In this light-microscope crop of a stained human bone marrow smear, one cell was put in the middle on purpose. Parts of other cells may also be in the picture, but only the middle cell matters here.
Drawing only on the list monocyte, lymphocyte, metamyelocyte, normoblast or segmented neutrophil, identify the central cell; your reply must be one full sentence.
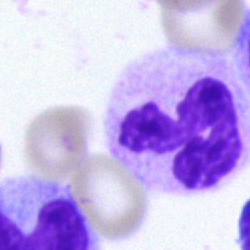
The cell at the centre of the field is a segmented neutrophil.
